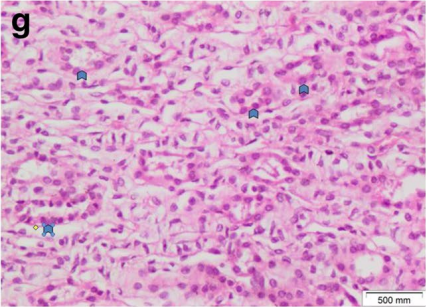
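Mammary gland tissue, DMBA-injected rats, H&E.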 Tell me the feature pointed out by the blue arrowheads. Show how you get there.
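Tubular tumorous proliferation. Small tubule-like clusters of cells among spindle cells. Crowded dark nuclei throughout.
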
